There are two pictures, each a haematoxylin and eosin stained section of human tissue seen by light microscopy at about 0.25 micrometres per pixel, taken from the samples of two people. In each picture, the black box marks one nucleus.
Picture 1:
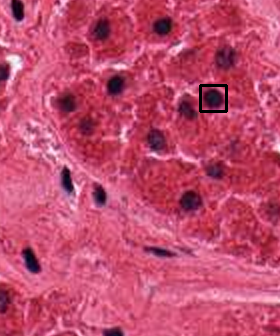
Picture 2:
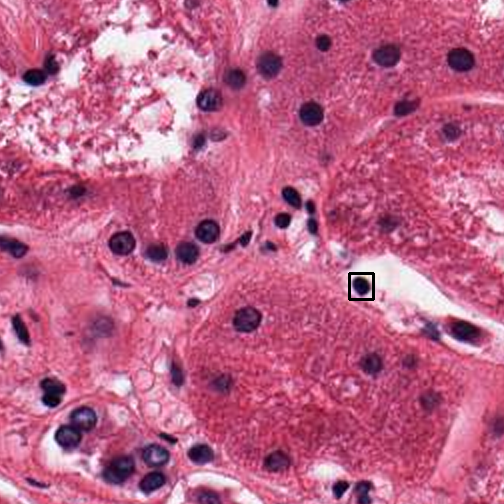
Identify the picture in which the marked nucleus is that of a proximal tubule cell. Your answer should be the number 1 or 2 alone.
1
